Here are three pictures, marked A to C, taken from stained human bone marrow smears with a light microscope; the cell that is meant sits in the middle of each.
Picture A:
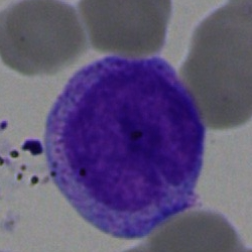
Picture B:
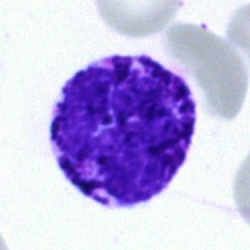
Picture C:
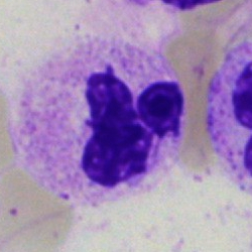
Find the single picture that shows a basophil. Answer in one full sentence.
It is picture B that shows the basophil.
